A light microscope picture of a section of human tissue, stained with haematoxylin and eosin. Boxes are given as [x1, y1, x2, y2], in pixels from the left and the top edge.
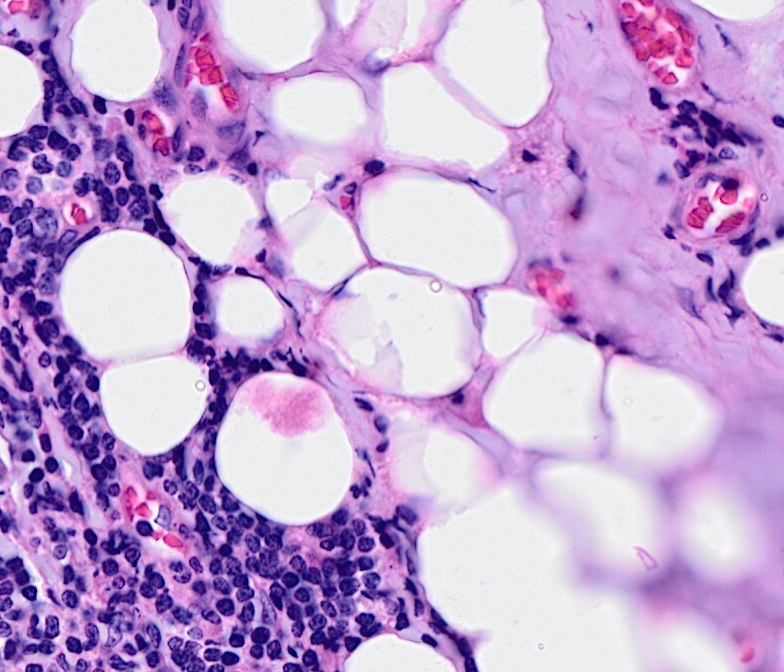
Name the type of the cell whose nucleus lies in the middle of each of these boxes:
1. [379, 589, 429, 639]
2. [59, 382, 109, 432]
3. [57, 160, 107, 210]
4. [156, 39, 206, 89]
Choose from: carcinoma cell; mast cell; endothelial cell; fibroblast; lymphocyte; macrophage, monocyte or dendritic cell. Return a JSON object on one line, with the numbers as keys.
{"1": "lymphocyte", "2": "lymphocyte", "3": "lymphocyte", "4": "endothelial cell"}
